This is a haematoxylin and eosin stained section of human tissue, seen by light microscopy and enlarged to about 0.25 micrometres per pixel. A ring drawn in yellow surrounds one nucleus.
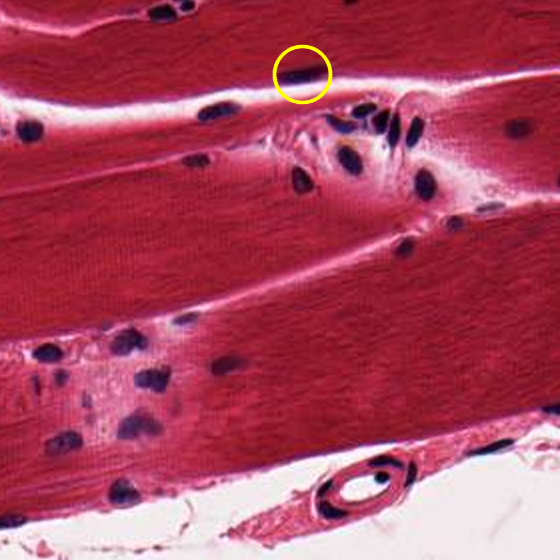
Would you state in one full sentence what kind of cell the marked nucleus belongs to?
In this picture, the marked nucleus belongs to a skeletal muscle fibre.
